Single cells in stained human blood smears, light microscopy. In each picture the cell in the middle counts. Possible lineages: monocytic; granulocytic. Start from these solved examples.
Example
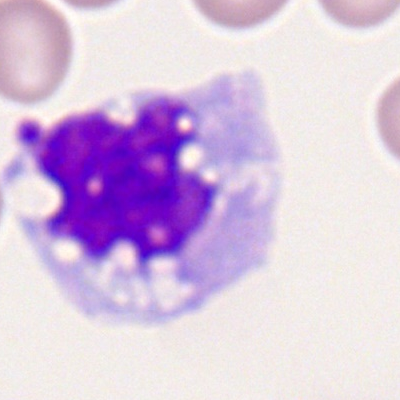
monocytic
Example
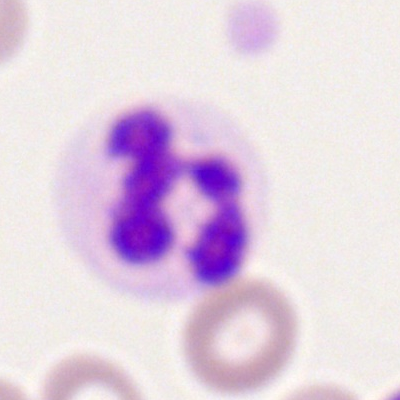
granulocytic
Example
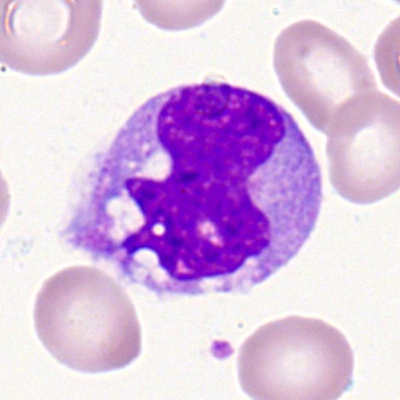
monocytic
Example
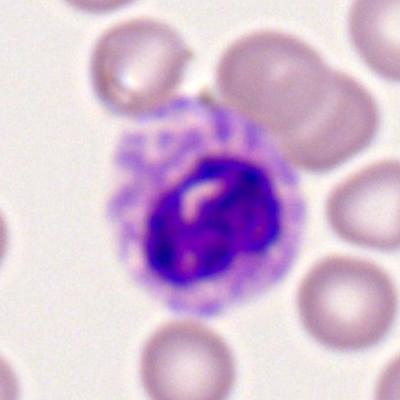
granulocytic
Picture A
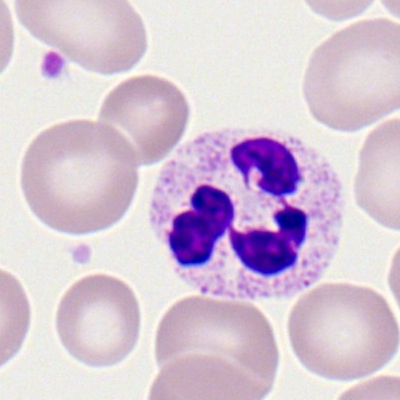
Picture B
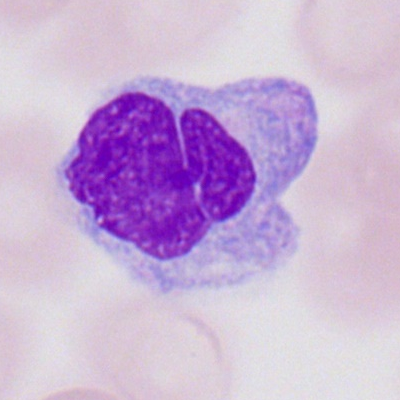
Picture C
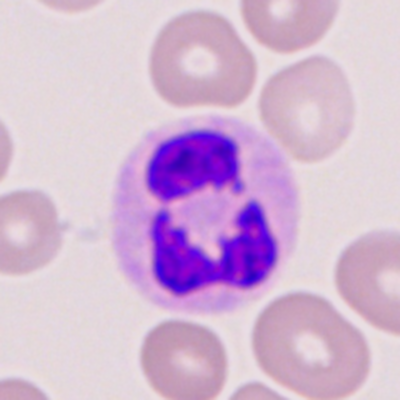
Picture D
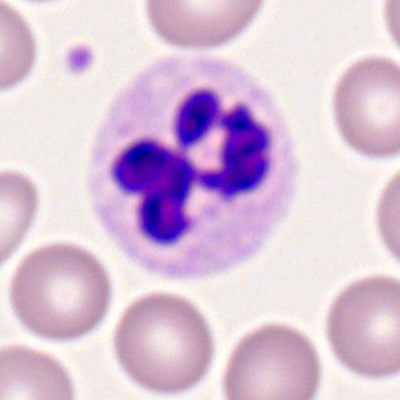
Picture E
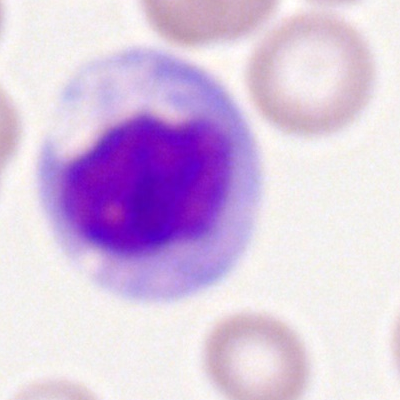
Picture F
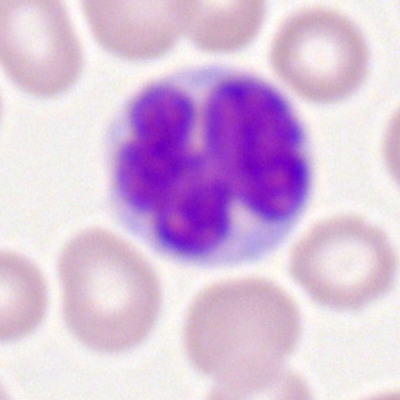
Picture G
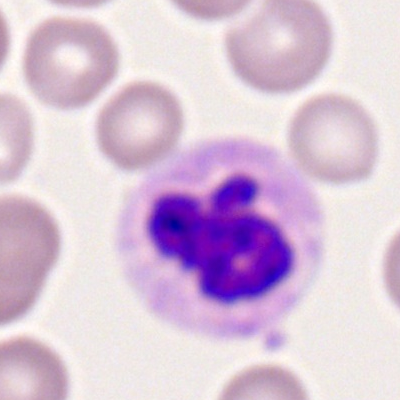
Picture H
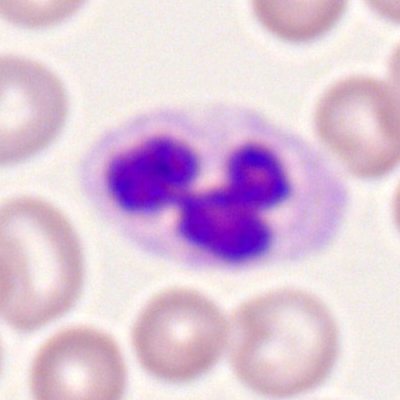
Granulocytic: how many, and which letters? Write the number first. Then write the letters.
5: A, C, D, G, H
